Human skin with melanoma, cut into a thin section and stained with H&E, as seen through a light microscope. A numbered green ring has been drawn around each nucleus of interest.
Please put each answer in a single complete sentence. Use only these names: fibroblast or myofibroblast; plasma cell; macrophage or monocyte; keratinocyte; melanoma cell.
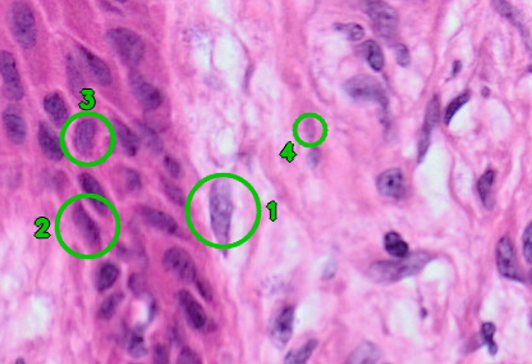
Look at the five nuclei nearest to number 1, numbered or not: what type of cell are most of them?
Most of the five nuclei nearest to number 1 are those of keratinocytes.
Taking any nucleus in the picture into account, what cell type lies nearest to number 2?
Number 2 lies closest to the nucleus of a keratinocyte.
